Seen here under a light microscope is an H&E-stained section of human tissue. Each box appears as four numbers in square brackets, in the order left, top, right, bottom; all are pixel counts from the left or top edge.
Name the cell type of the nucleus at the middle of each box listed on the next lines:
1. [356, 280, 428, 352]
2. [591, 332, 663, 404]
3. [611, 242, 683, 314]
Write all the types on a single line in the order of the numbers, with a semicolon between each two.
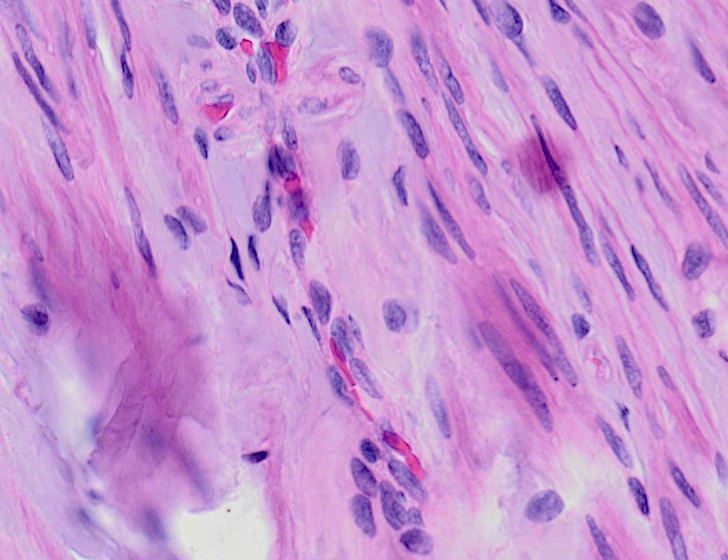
fibroblast; smooth muscle cell; smooth muscle cell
